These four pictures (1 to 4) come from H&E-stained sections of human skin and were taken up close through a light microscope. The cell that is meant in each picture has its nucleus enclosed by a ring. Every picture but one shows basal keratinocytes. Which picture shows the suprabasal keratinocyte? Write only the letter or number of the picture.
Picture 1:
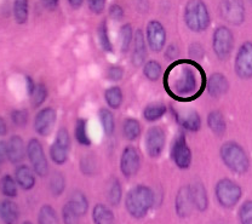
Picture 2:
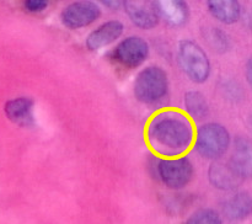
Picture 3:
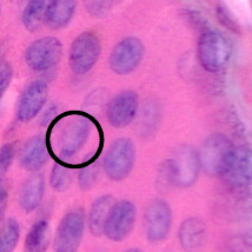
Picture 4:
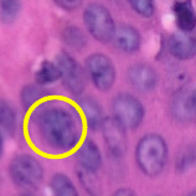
3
